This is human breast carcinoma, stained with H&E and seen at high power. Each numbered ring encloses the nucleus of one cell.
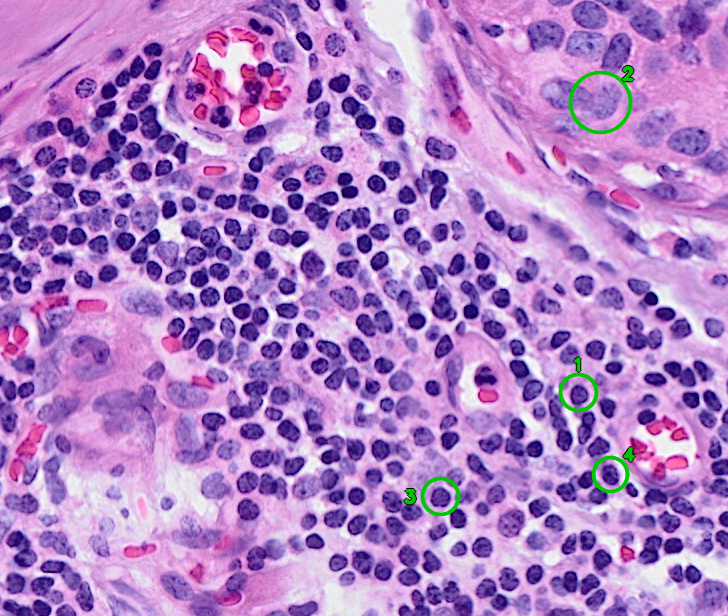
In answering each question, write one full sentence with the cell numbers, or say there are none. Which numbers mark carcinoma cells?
The numbered cells include exactly one that is a carcinoma cell, which is cell 2.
